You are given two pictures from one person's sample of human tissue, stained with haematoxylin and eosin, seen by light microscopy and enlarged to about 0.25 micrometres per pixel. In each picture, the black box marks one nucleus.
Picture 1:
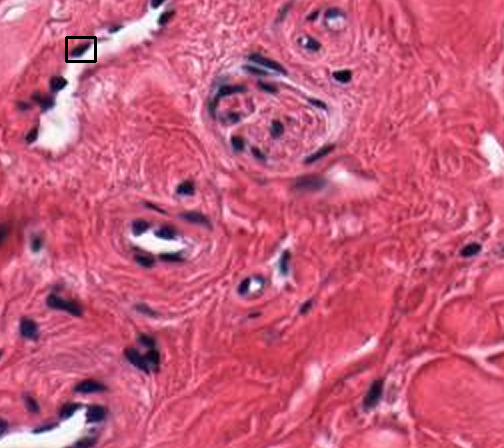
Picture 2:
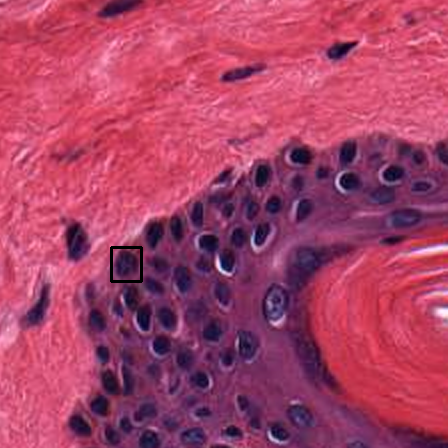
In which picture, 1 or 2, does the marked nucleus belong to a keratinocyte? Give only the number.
2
